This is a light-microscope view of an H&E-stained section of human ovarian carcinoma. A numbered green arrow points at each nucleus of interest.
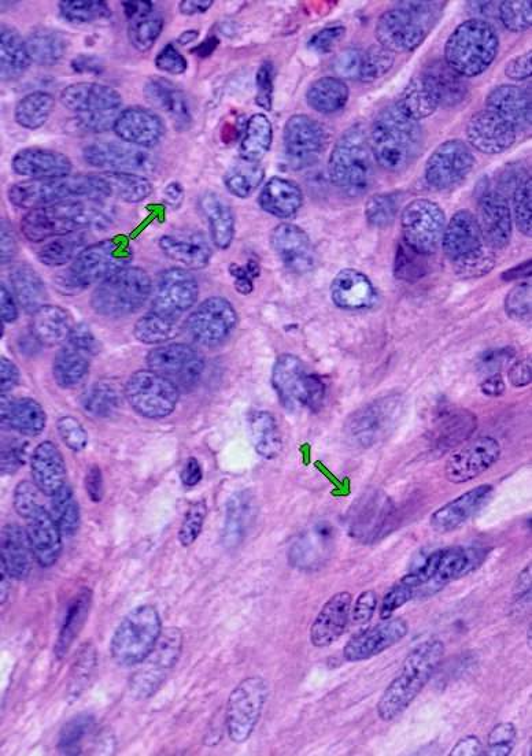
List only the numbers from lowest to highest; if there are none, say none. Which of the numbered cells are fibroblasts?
1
